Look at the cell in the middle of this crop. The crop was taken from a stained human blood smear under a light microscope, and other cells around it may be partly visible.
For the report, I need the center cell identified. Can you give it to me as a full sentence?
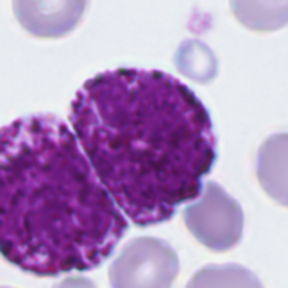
The cell marked by its central position in the crop is a basophil.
